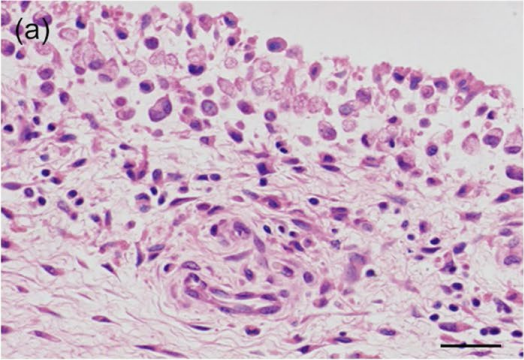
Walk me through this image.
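Synovial tissue with a thickened lining several cells deep along the free surface, made of rounded and oval cells with purple nuclei and pale pink cytoplasm. Beneath it the sublining contains many small dark round nuclei of scattered cells among pink fibrous stroma. A small blood vessel sits in the sublining, surrounded by a cuff of concentrically arranged spindle-shaped cells. Deeper tissue consists of loose pink collagen fibres with elongated nuclei.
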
